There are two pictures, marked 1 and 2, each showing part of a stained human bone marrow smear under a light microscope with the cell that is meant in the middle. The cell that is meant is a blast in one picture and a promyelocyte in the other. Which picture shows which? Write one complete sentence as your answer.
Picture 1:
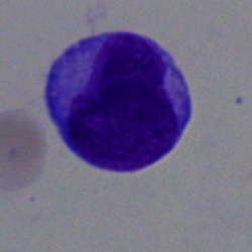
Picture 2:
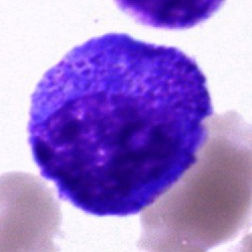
It is picture 1 that shows a blast, and picture 2 that shows a promyelocyte.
